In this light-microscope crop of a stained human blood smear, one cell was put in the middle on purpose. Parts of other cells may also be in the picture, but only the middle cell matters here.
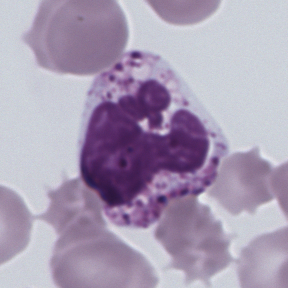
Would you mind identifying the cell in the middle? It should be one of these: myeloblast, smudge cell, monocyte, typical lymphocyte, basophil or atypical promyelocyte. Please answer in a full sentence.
Whatever else lies nearby, the middle cell is a basophil.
